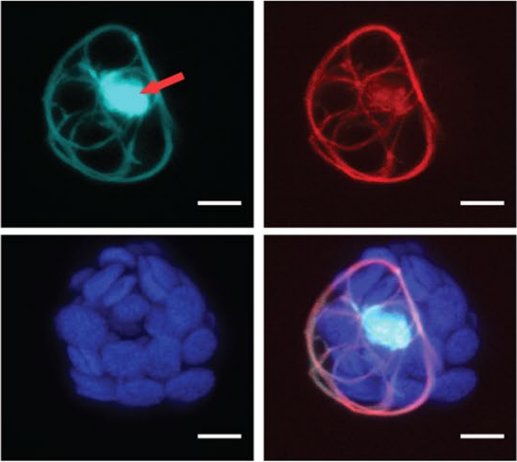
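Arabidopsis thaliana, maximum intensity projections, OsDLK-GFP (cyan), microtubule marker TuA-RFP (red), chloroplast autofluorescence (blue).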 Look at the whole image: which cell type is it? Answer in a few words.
Mesophyll protoplast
